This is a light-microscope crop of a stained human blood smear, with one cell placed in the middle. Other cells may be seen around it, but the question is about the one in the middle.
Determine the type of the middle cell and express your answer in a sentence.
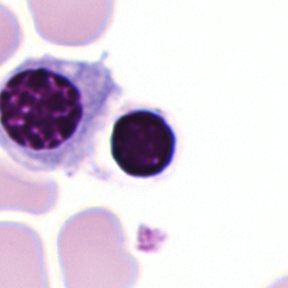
The crop centres on a single cell, and that cell is a normoblast.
